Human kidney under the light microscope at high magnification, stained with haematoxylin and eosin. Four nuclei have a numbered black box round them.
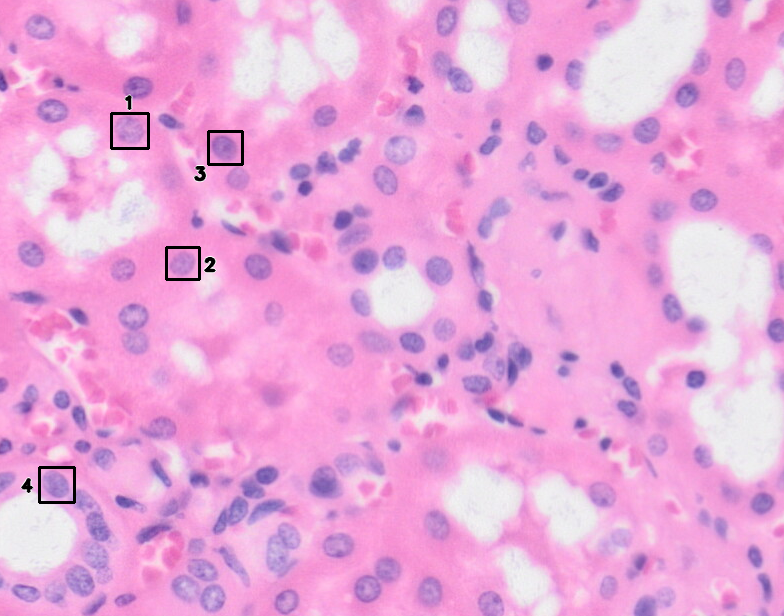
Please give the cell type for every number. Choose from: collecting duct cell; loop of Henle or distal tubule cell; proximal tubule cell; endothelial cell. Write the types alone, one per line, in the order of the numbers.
proximal tubule cell
proximal tubule cell
proximal tubule cell
collecting duct cell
